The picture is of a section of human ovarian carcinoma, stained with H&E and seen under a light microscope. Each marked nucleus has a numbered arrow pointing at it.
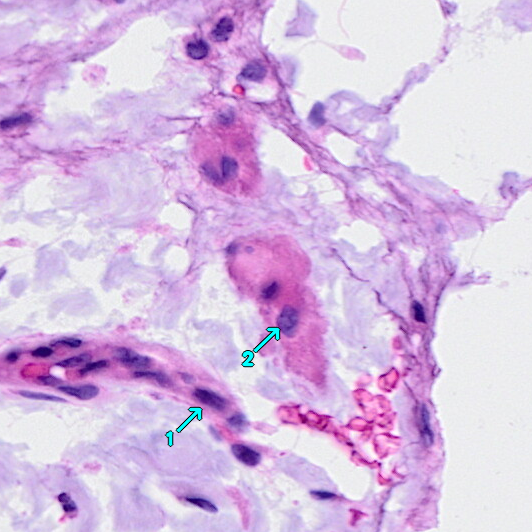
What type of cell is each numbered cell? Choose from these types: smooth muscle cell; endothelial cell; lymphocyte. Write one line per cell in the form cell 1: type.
cell 1: endothelial cell
cell 2: smooth muscle cell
